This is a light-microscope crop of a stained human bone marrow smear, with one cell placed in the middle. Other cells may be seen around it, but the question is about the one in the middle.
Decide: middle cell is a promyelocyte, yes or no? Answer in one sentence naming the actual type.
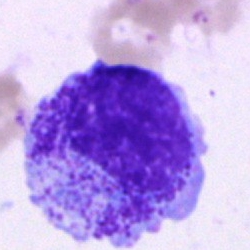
Yes, the cell placed centrally within the crop is a promyelocyte.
